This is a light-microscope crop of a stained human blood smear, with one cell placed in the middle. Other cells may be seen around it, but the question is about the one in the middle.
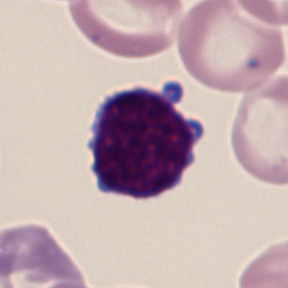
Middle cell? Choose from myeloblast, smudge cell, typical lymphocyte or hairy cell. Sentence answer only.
The cell at the middle of the frame should be recorded as a typical lymphocyte.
